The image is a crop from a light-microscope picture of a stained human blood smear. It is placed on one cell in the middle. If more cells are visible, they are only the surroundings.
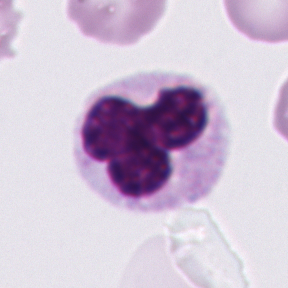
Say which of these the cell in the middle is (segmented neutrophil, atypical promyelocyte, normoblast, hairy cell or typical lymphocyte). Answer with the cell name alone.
segmented neutrophil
